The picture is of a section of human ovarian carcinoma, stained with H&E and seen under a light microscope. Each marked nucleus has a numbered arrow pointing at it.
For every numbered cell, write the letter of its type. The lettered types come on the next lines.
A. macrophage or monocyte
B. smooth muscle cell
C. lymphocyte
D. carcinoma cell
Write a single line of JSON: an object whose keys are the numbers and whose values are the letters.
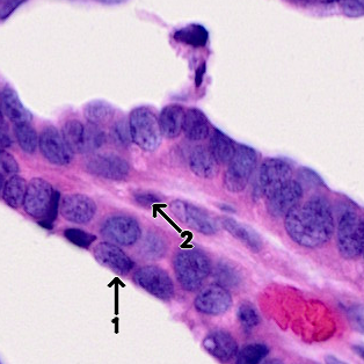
{"1": "D", "2": "A"}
